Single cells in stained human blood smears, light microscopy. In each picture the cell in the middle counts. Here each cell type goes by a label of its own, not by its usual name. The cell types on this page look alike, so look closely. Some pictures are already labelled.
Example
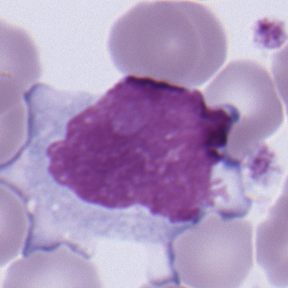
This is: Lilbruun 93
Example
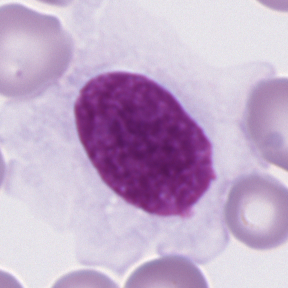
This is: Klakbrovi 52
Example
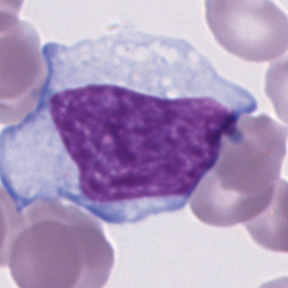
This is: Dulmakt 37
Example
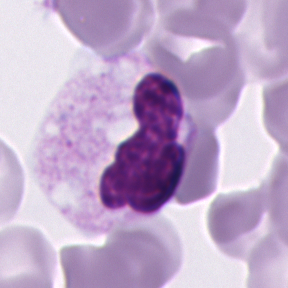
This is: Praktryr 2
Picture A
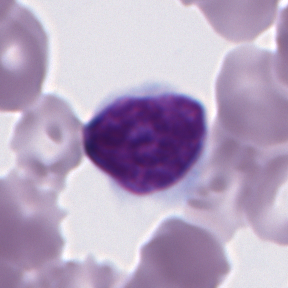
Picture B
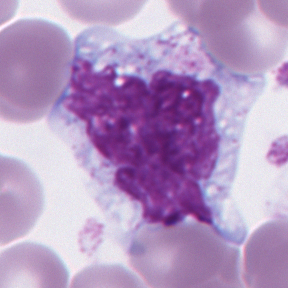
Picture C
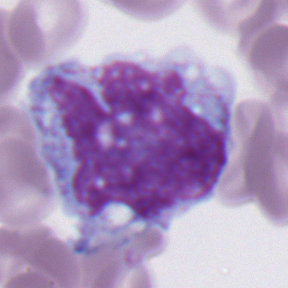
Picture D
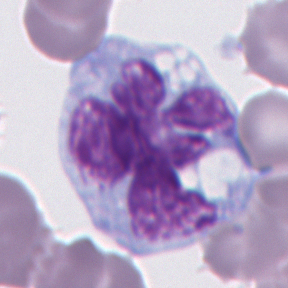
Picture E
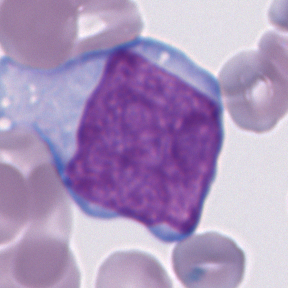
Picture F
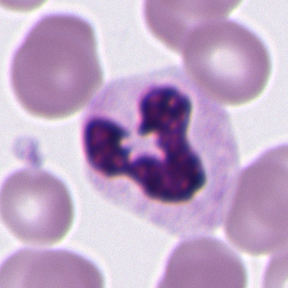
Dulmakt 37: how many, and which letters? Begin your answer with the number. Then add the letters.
1: E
